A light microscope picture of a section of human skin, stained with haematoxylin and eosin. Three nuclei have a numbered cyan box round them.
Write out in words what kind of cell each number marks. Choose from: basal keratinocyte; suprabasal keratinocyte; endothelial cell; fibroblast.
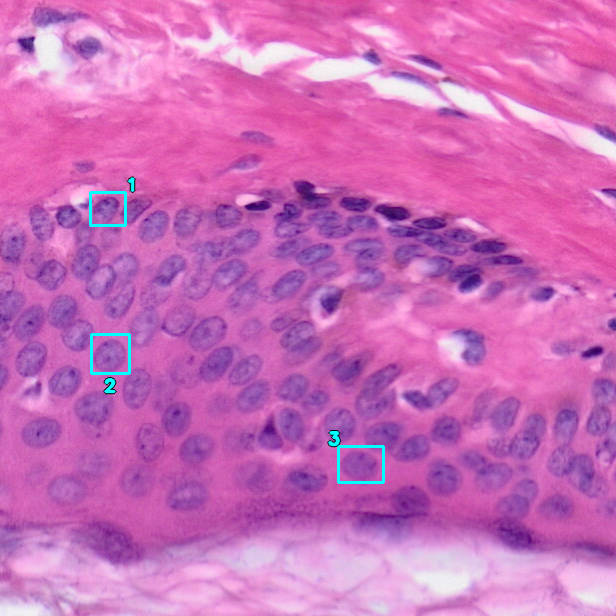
Cell 1 is a basal keratinocyte, cell 2 is a suprabasal keratinocyte and cell 3 is a suprabasal keratinocyte.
